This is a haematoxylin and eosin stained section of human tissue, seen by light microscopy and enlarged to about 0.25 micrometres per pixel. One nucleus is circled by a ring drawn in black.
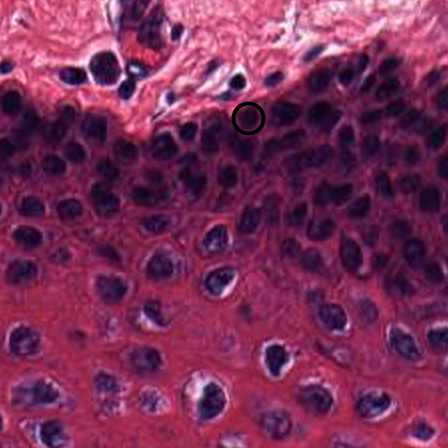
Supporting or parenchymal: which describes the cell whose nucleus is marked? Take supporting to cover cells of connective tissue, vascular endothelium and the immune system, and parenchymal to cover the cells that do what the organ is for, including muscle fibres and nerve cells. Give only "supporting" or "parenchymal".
parenchymal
